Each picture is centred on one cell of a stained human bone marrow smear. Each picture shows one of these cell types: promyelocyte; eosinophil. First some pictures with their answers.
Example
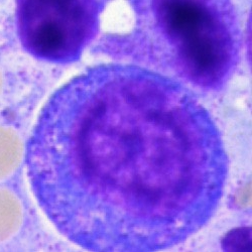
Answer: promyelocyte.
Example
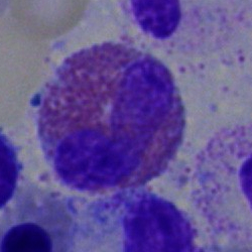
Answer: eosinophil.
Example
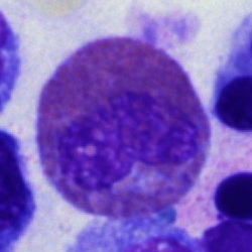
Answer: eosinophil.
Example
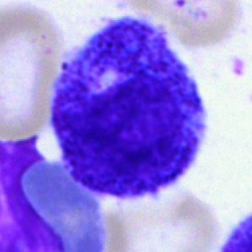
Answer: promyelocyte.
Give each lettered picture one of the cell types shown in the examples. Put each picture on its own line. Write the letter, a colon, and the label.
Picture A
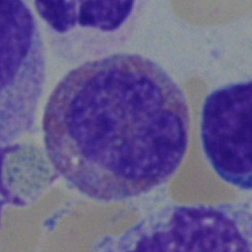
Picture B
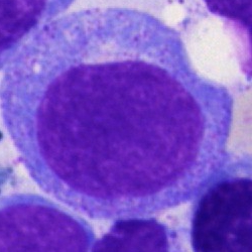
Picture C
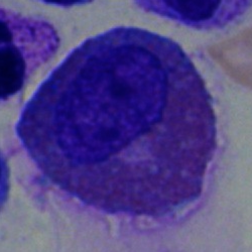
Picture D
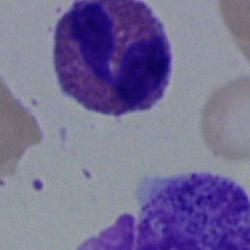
A: eosinophil.
B: promyelocyte.
C: eosinophil.
D: eosinophil.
